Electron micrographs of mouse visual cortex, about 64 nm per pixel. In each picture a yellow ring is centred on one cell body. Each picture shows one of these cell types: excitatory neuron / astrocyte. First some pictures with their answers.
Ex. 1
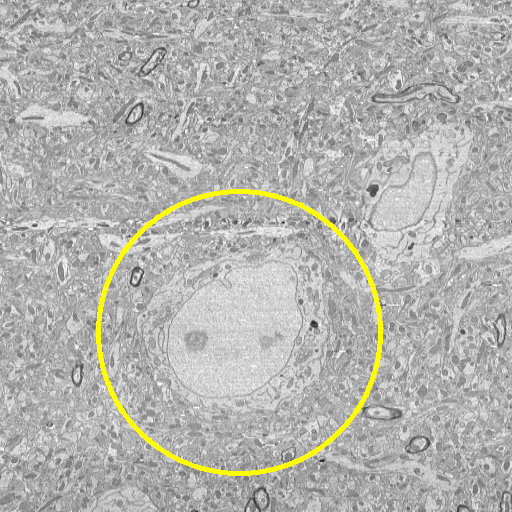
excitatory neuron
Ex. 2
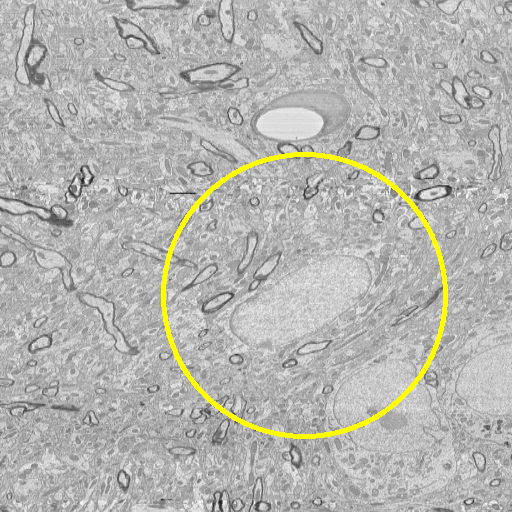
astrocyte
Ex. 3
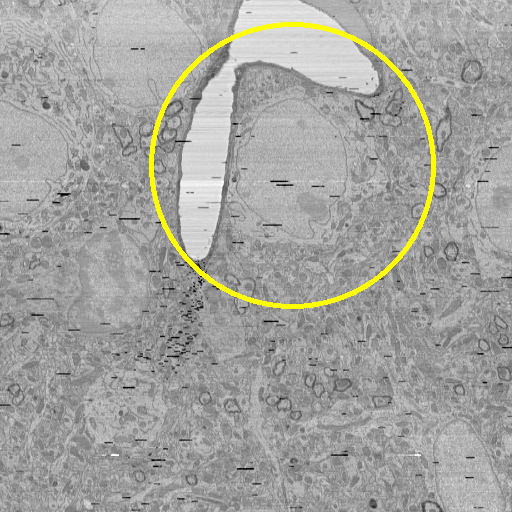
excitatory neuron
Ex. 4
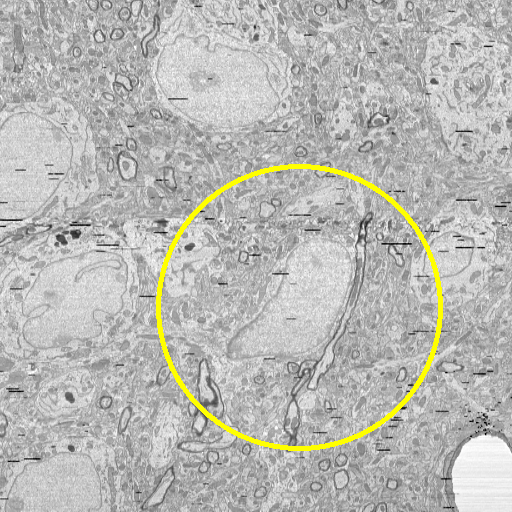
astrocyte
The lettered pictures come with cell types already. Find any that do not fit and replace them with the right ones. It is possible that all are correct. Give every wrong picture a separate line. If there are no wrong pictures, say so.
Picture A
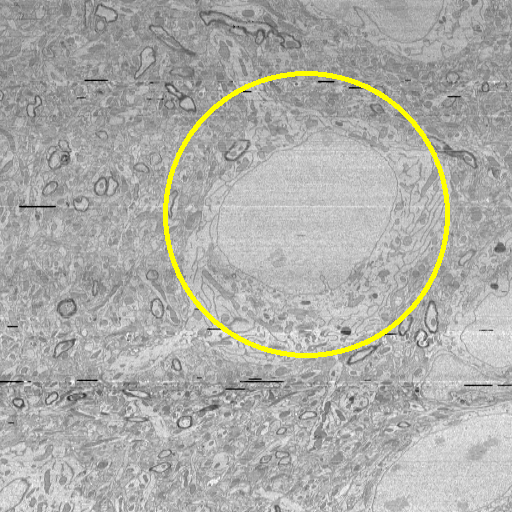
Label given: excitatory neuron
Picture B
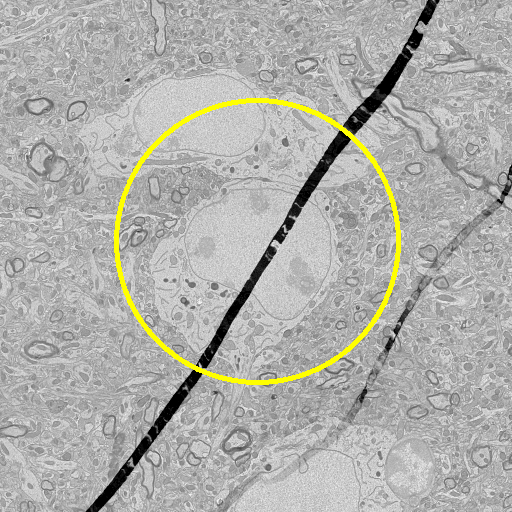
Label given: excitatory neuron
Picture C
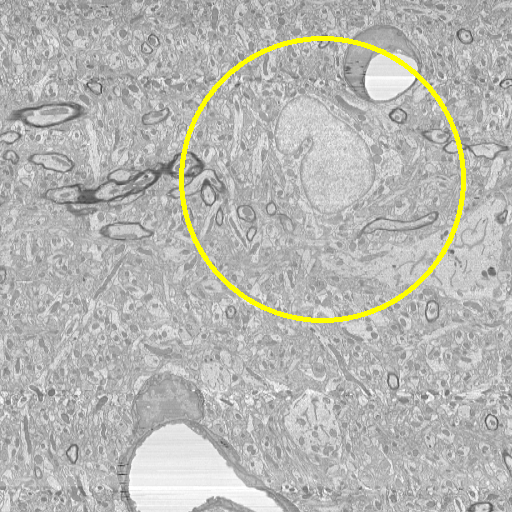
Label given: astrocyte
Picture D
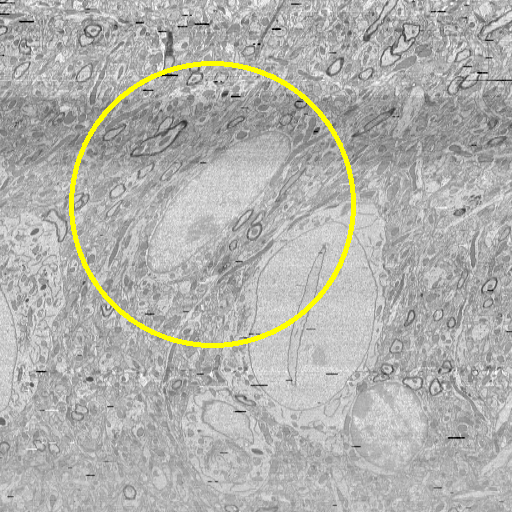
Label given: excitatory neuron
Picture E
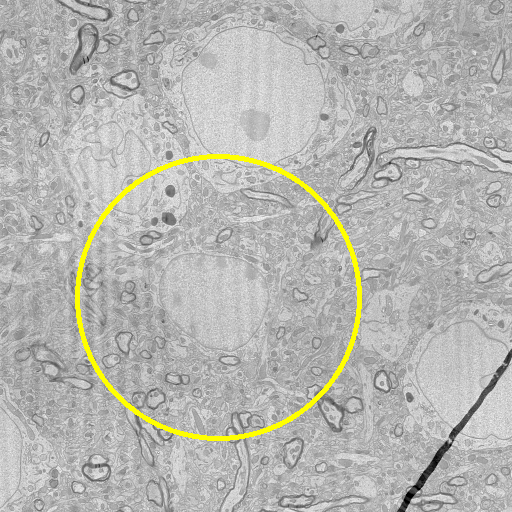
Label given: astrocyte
D: not excitatory neuron but astrocyte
